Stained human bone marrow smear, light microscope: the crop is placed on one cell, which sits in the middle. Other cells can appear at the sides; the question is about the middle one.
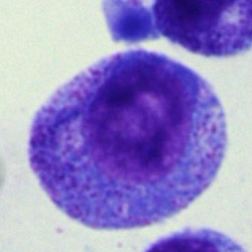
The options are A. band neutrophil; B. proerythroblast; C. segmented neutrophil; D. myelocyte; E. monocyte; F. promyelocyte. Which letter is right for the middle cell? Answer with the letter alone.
F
